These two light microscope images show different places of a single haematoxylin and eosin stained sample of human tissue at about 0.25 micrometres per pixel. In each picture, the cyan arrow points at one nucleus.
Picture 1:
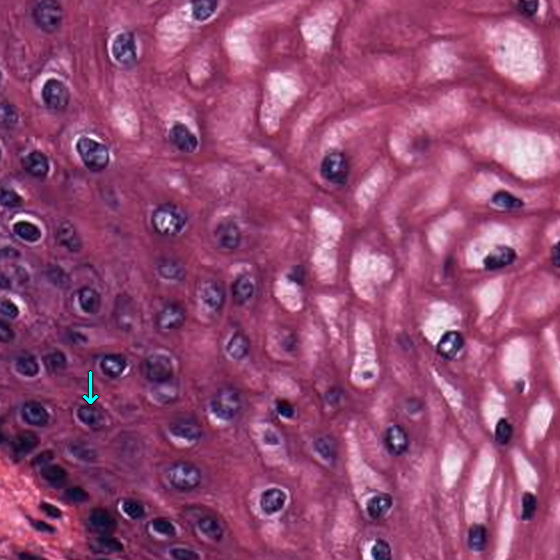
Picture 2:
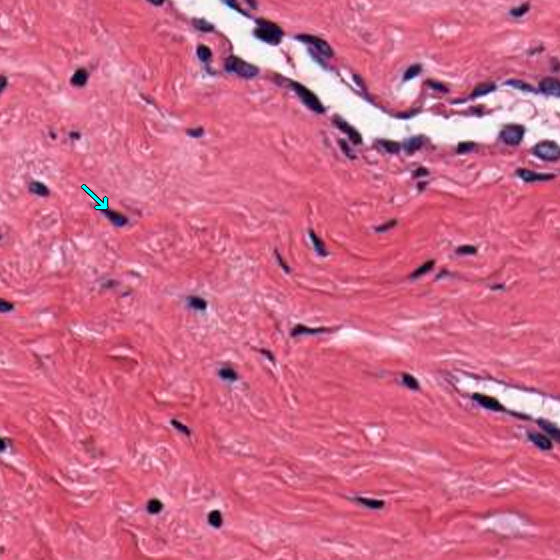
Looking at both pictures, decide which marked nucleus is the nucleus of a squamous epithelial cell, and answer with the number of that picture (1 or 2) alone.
1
